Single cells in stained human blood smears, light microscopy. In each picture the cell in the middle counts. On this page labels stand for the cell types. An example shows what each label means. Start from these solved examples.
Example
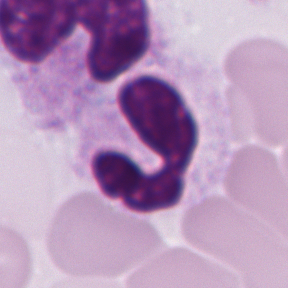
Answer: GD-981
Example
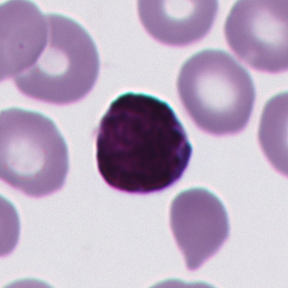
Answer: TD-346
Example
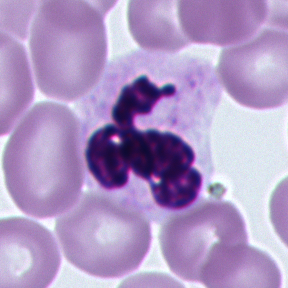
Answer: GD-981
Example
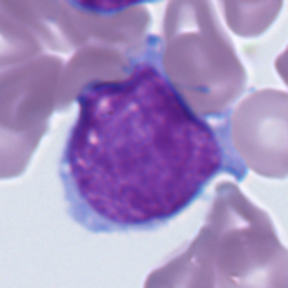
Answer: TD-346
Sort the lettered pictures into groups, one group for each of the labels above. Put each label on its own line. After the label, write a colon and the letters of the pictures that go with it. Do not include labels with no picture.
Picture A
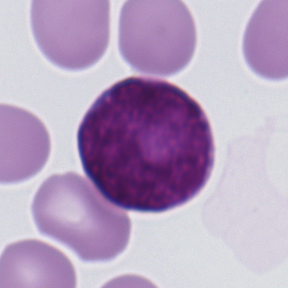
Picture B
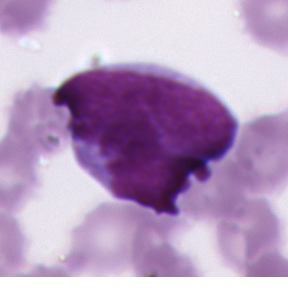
TD-346: A, B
